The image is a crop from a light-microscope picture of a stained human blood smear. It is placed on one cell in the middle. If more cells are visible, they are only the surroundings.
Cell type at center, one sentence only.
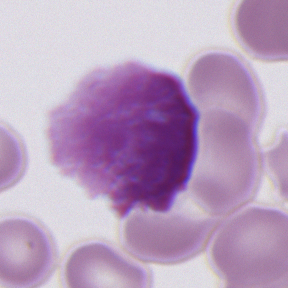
The cell at the centre of the field is a smudge cell.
